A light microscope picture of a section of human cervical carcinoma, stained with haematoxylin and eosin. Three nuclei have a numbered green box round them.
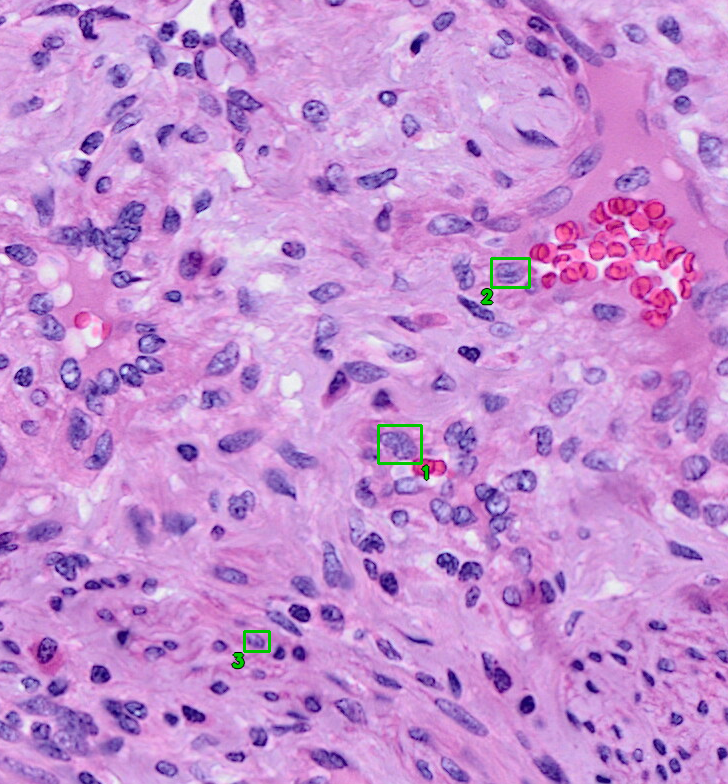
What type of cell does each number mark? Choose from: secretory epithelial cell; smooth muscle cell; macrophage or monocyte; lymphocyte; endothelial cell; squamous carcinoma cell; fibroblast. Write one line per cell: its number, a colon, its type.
1: endothelial cell
2: endothelial cell
3: smooth muscle cell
